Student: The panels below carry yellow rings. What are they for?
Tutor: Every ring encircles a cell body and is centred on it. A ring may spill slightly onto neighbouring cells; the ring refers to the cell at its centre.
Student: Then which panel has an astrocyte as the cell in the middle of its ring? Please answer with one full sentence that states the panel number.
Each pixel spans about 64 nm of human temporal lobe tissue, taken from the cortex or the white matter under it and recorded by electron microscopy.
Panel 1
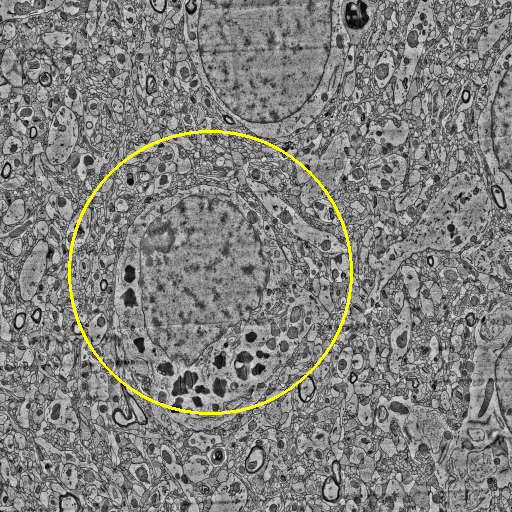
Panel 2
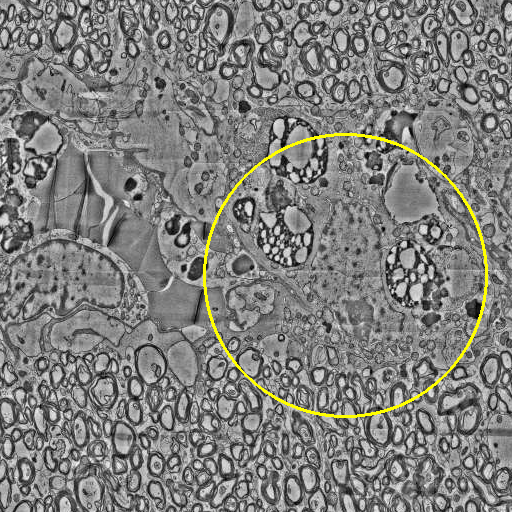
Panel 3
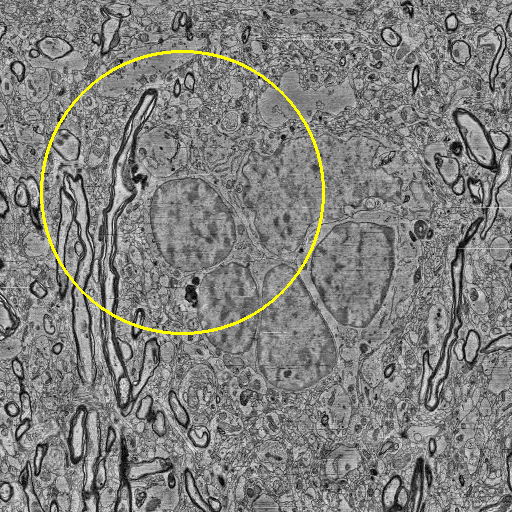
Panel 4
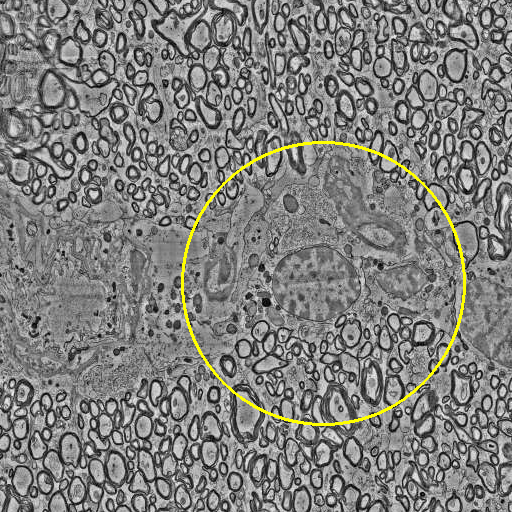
In Panel 2, the cell centred in the ring is the one sought.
